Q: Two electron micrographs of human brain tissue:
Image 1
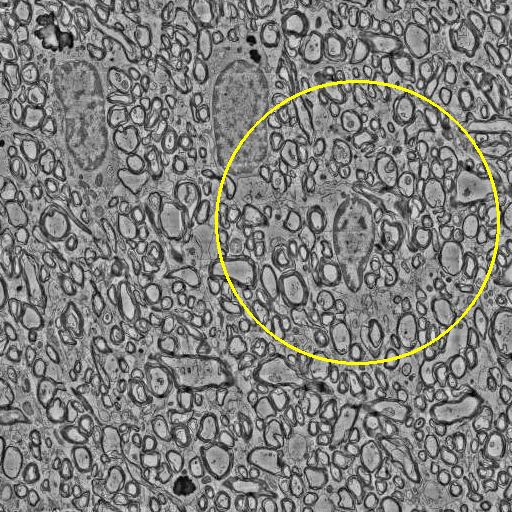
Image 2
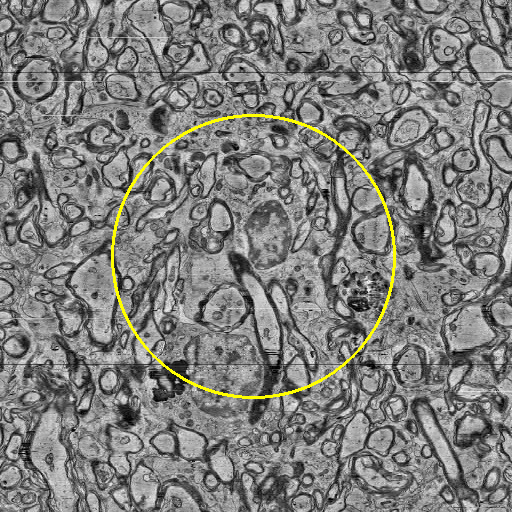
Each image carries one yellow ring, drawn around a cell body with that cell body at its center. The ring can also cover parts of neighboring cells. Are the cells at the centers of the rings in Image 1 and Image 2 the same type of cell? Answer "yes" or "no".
yes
